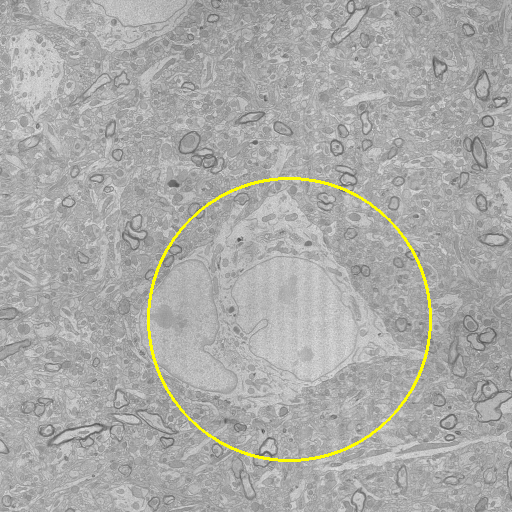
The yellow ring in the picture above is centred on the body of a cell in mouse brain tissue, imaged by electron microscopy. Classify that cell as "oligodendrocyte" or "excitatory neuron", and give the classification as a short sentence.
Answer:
The cell in the middle of the ring is an excitatory neuron.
